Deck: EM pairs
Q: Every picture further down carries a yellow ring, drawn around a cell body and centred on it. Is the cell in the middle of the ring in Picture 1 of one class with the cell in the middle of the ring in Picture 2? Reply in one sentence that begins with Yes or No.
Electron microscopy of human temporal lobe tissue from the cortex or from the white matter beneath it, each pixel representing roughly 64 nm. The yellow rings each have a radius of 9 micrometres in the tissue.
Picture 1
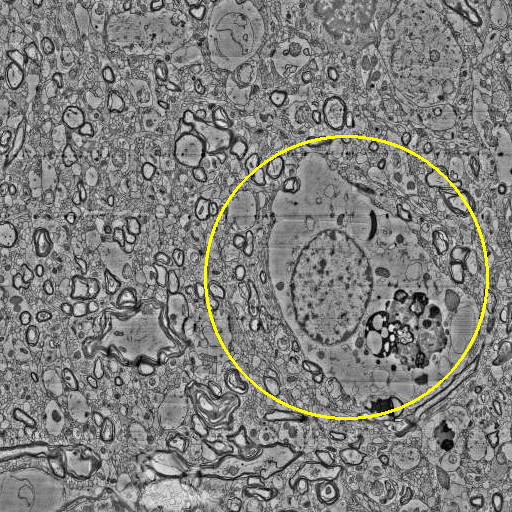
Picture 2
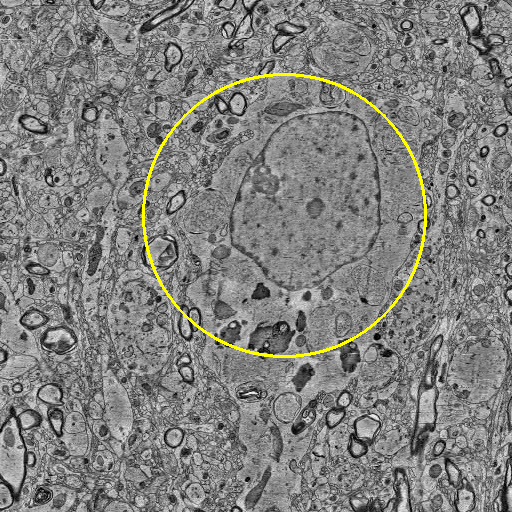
Yes, the cell centred in the ring of Picture 1 and the one in Picture 2 belong to one class.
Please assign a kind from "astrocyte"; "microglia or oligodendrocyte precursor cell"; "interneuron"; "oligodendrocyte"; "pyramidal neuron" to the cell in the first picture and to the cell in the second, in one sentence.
Each one of the two ringed cells is an astrocyte.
